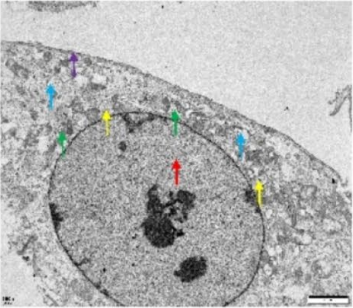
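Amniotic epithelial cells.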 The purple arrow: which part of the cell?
Cytoplasmic membrane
